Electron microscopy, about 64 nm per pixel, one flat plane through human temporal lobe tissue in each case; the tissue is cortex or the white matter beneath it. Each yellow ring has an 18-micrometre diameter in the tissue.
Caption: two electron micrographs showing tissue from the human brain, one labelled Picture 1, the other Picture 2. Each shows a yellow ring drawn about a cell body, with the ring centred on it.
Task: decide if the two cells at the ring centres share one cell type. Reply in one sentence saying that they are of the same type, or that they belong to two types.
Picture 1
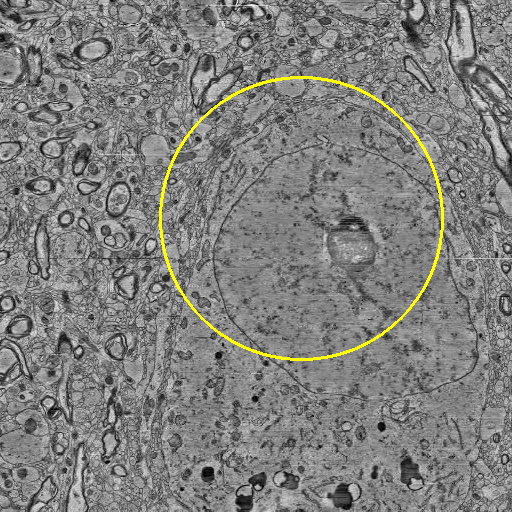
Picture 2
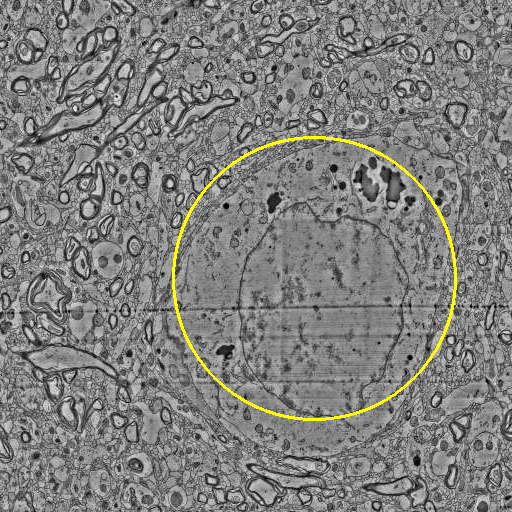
The cells at the ring centres in Picture 1 and Picture 2 are of the same type.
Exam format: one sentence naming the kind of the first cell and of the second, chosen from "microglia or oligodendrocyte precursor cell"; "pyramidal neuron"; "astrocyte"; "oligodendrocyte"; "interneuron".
Both the first and the second picture show a pyramidal neuron in the ring.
